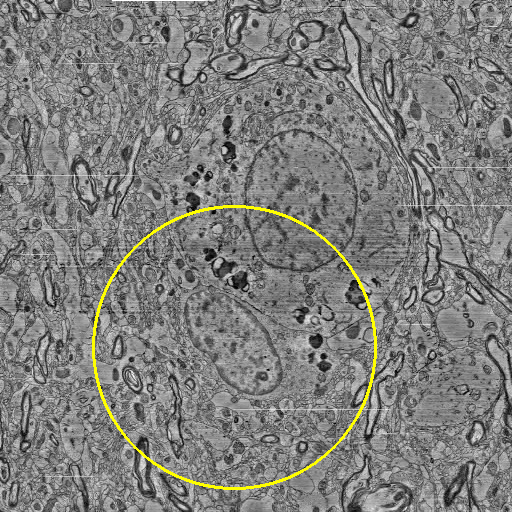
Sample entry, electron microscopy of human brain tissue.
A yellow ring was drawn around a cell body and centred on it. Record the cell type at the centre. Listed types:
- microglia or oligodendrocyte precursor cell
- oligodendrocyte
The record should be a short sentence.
The cell at the ring's centre is an oligodendrocyte.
